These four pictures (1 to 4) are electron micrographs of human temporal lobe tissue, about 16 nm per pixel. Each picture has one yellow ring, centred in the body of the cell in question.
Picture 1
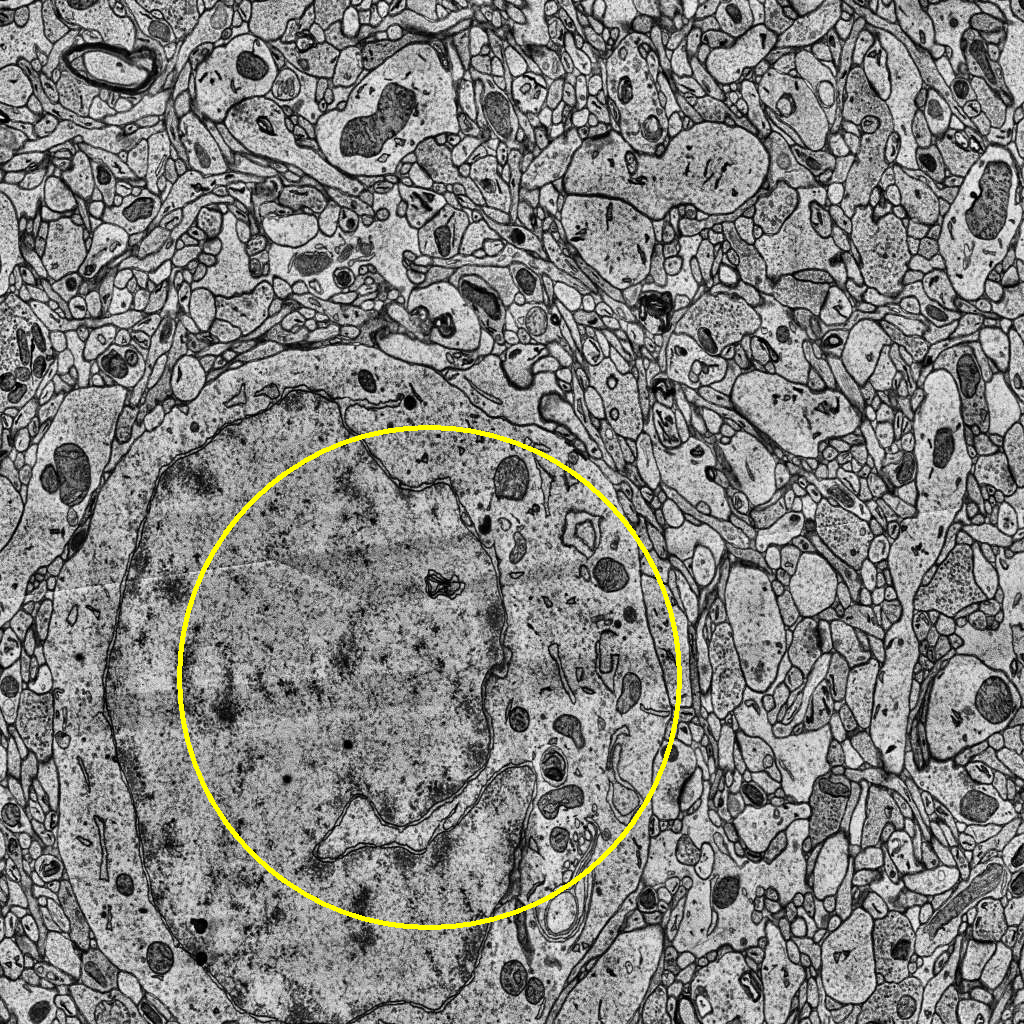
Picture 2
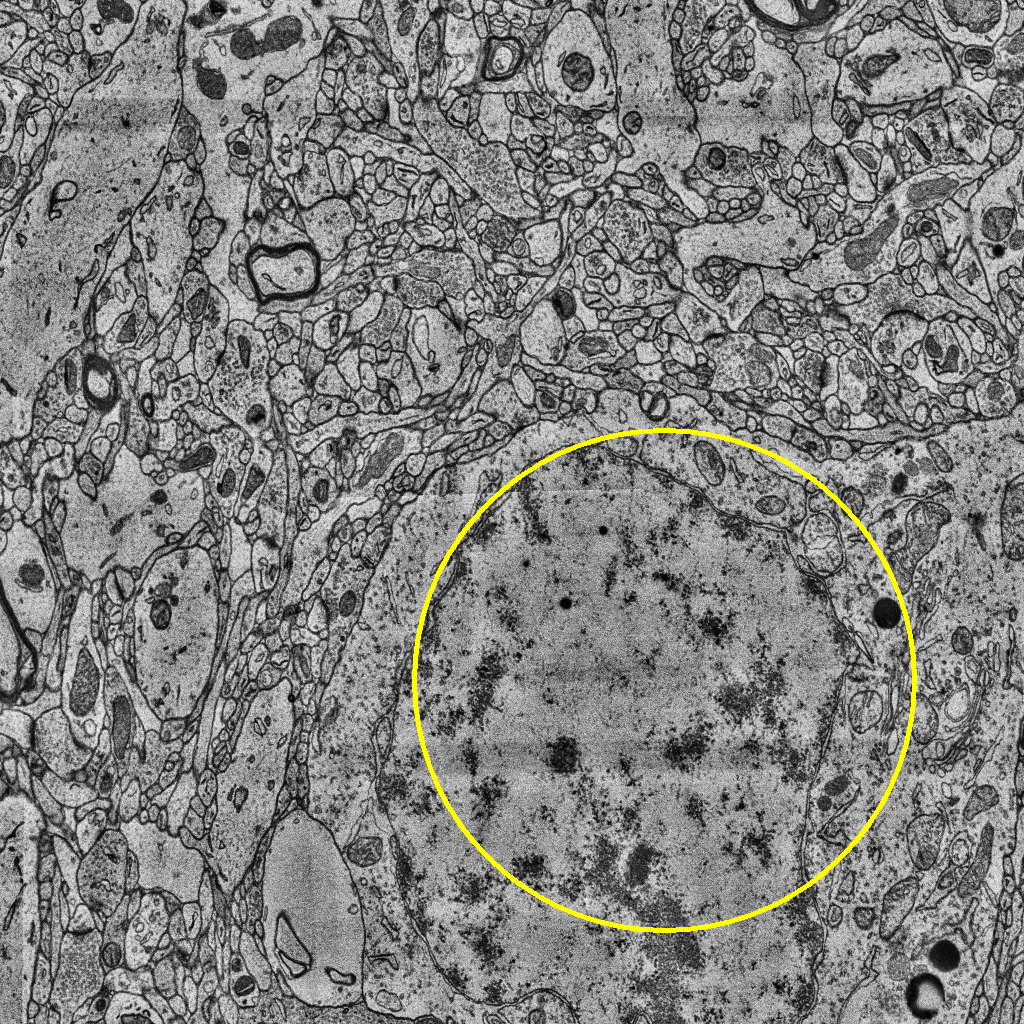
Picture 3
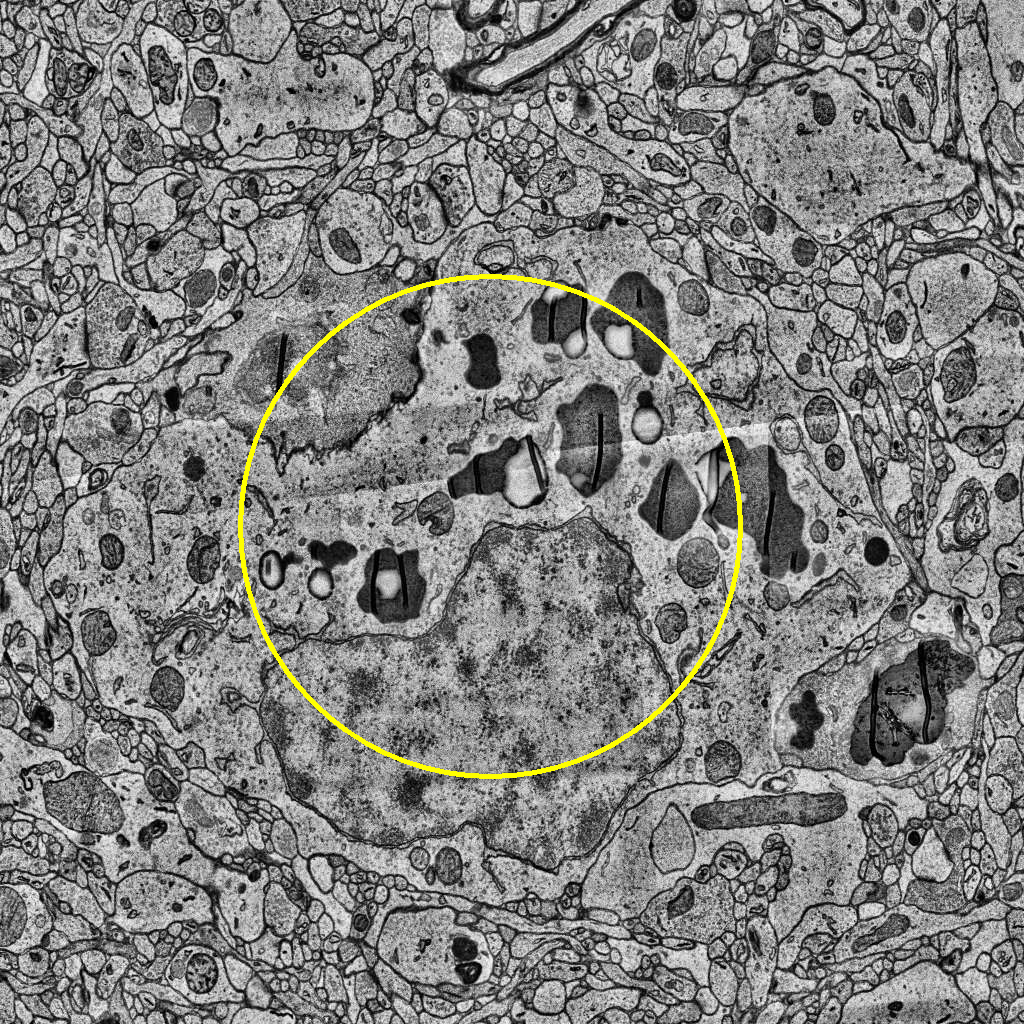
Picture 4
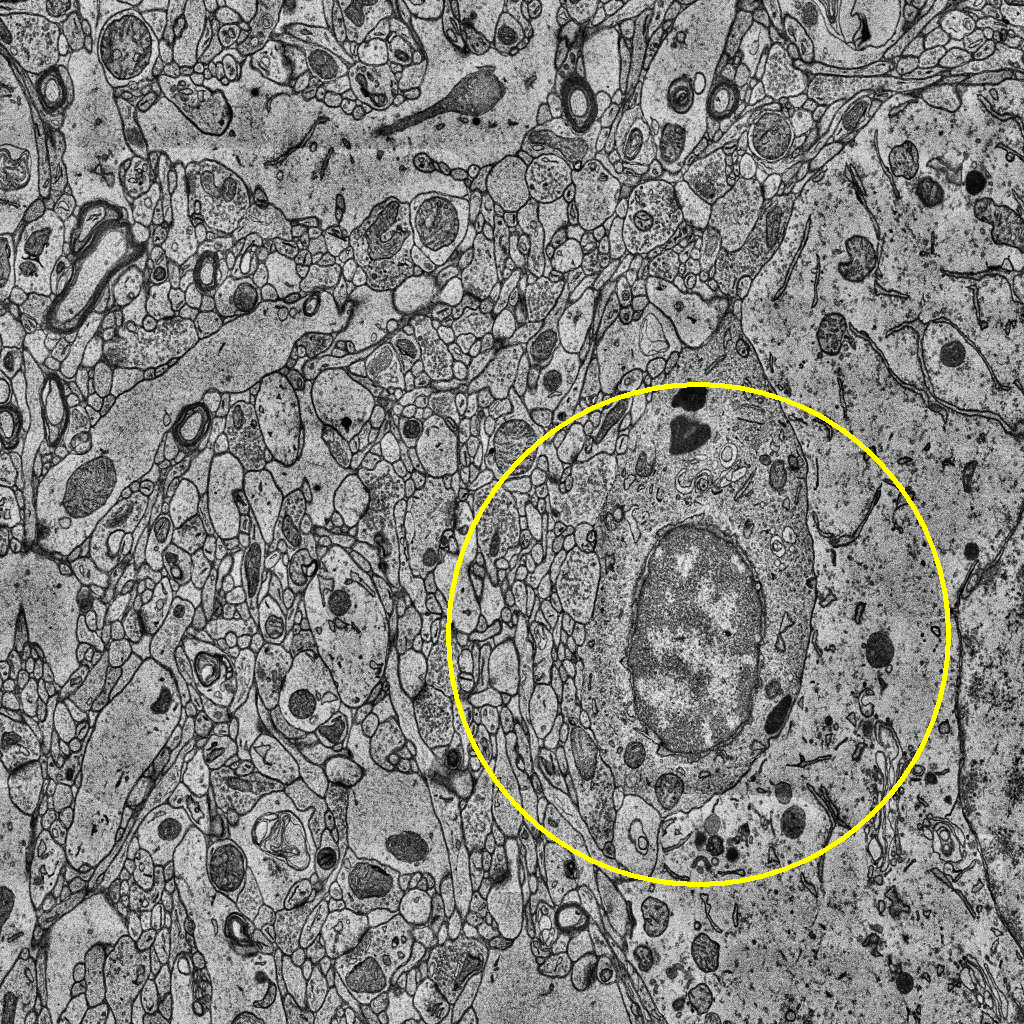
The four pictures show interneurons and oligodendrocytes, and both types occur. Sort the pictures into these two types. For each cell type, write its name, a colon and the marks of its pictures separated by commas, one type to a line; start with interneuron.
interneuron: 1, 2, 3
oligodendrocyte: 4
